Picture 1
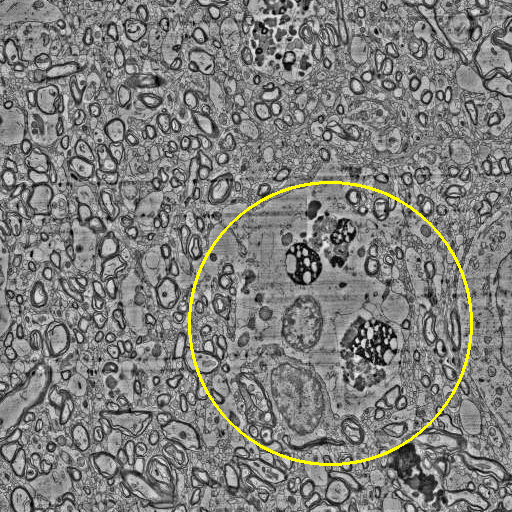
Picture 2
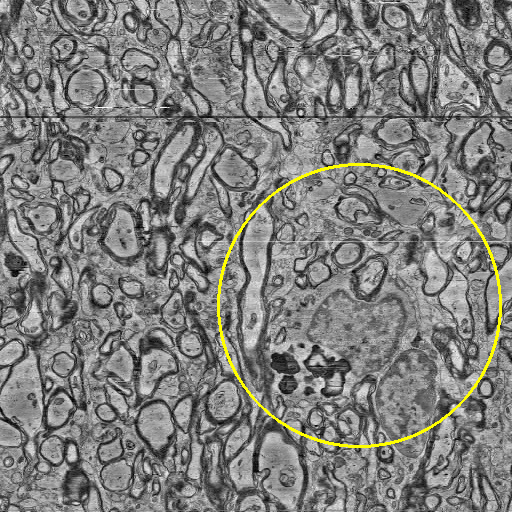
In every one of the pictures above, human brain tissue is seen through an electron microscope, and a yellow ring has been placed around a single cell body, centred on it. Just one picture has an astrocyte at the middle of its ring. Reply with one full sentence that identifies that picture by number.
It is picture 1 that shows the wanted cell at its ring's centre.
